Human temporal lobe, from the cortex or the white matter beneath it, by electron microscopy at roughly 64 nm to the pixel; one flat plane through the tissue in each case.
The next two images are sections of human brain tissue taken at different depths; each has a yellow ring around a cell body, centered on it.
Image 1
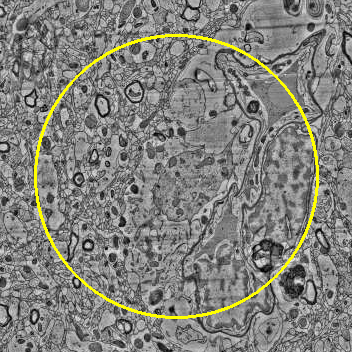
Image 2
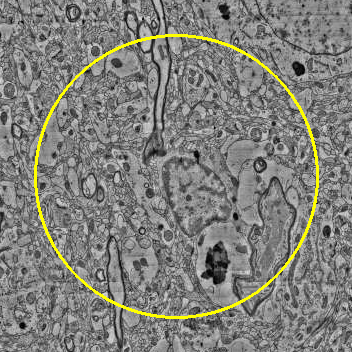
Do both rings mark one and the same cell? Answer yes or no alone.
no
